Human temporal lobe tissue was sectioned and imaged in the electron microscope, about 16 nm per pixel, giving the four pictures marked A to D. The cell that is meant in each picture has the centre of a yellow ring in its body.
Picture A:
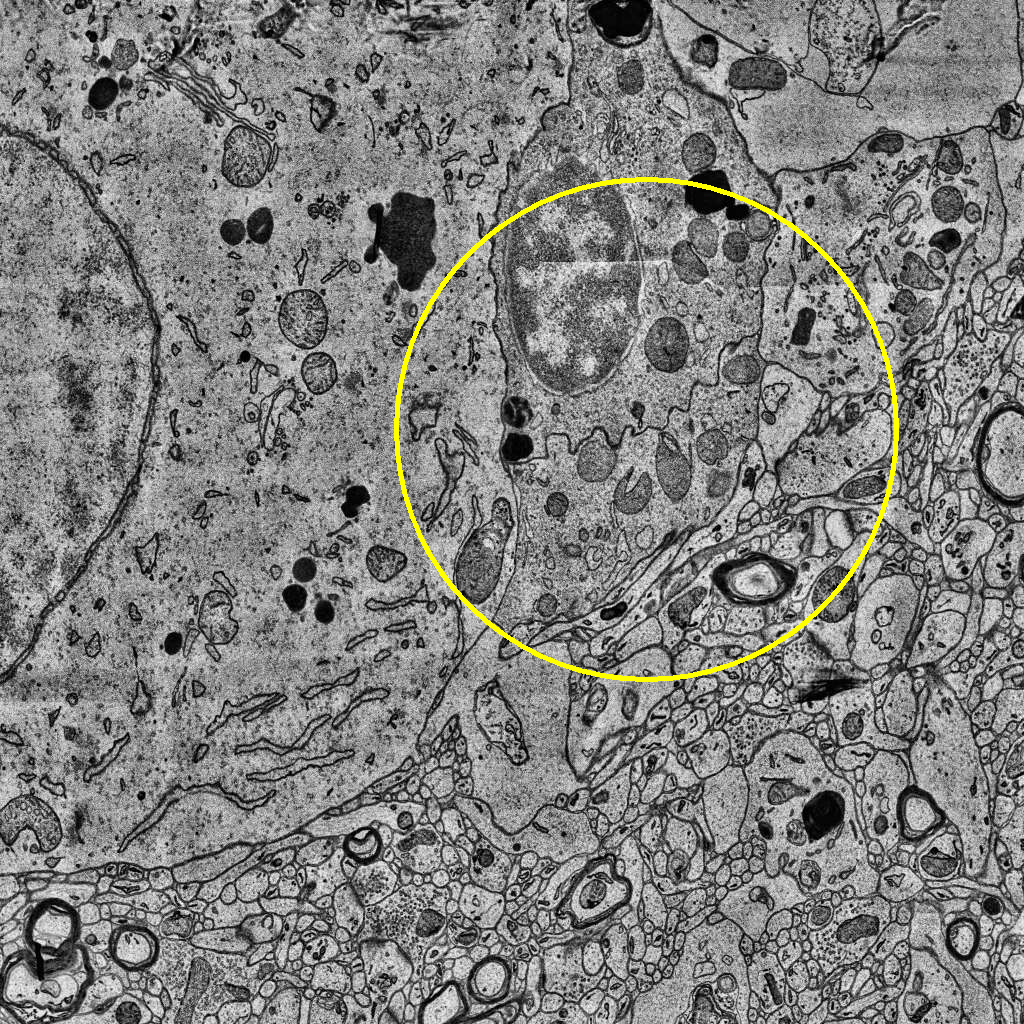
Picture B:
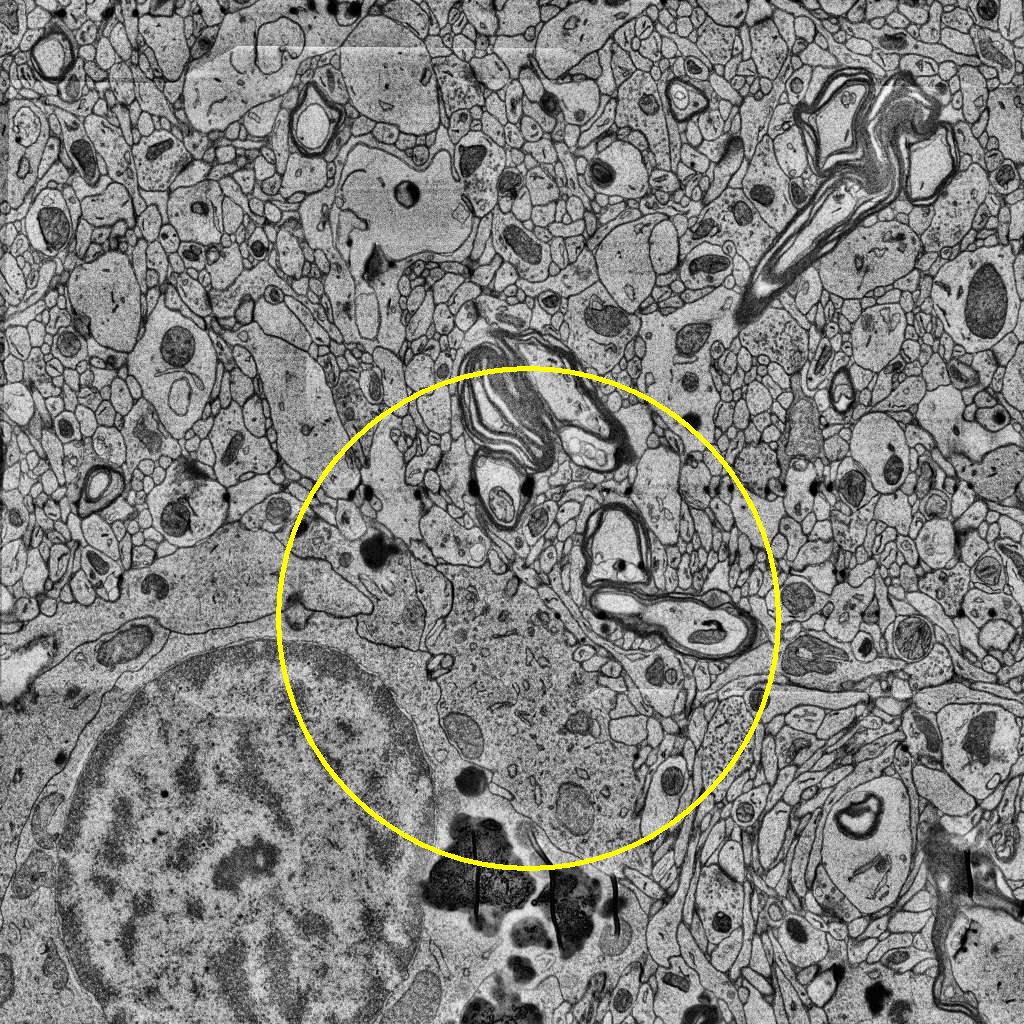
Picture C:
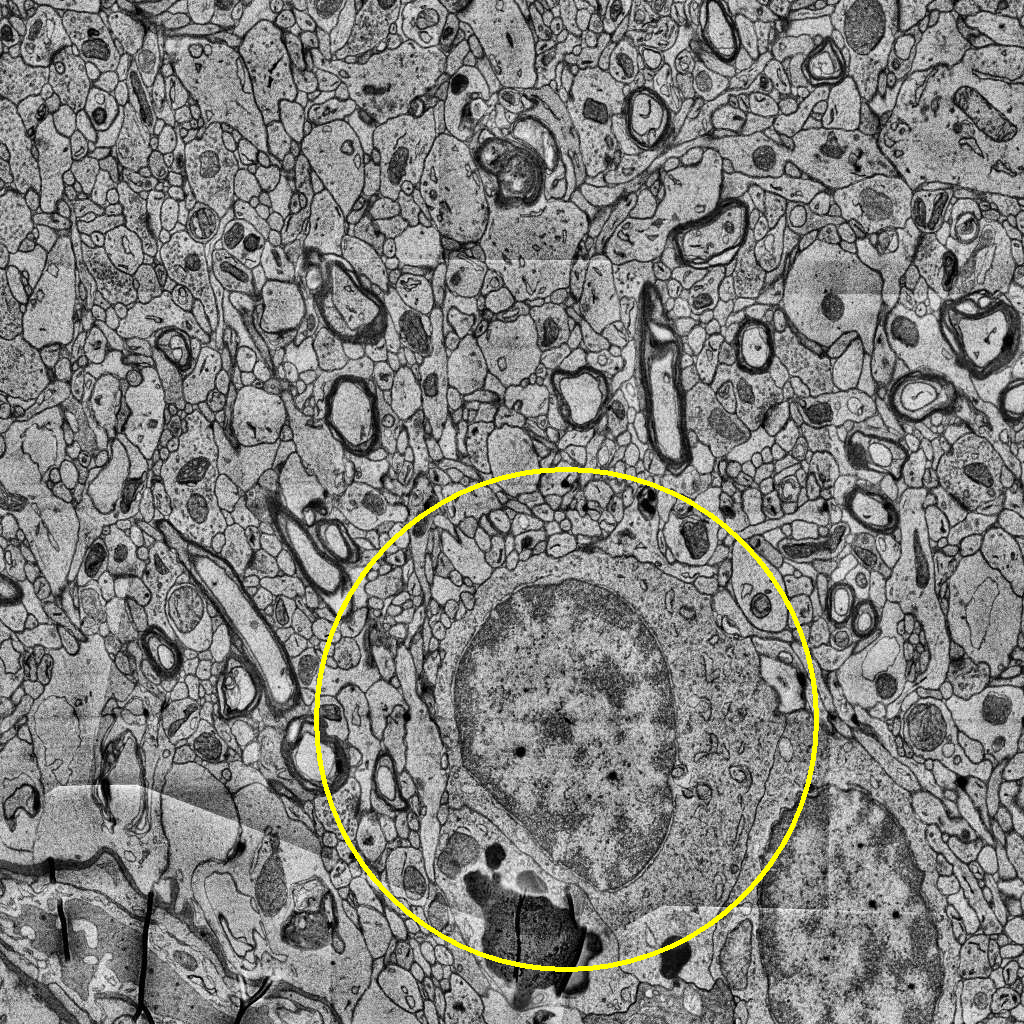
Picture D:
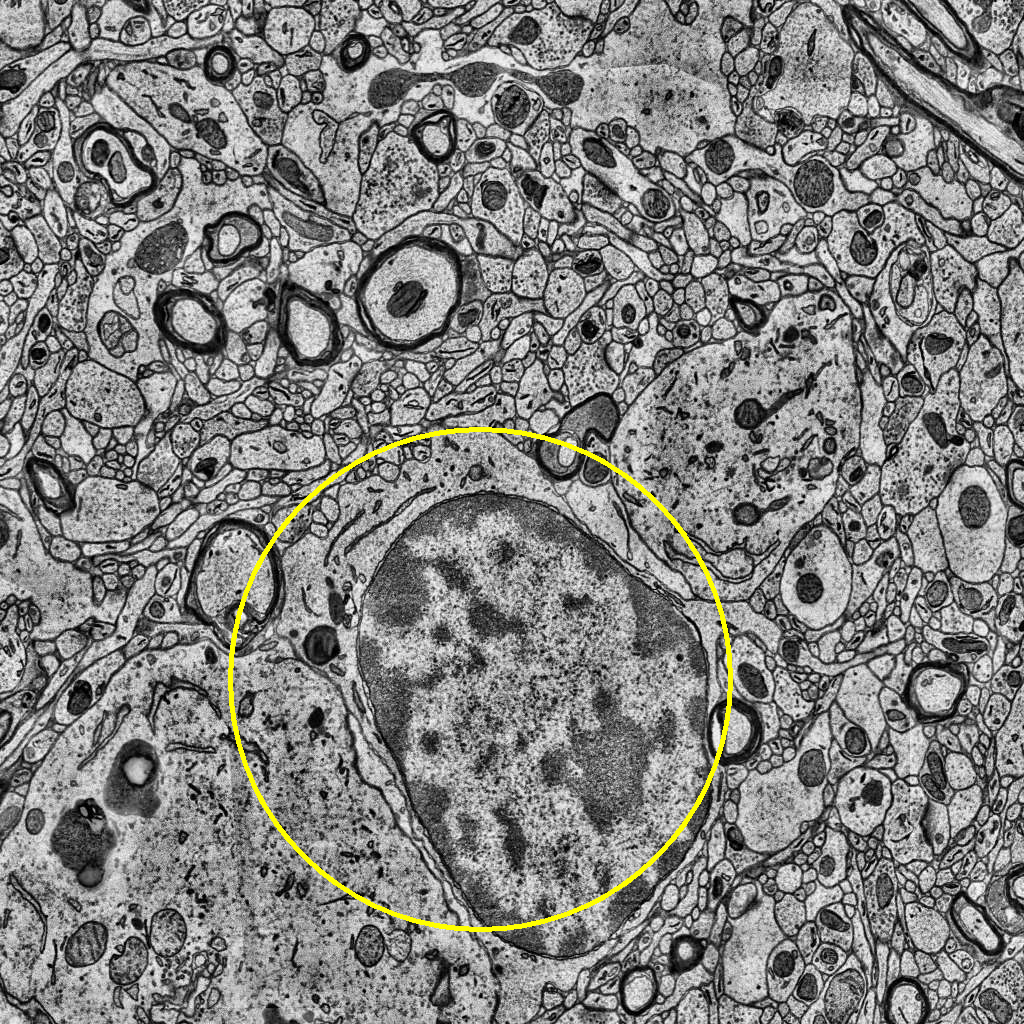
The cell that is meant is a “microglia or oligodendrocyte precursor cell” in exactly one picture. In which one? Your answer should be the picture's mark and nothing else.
D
